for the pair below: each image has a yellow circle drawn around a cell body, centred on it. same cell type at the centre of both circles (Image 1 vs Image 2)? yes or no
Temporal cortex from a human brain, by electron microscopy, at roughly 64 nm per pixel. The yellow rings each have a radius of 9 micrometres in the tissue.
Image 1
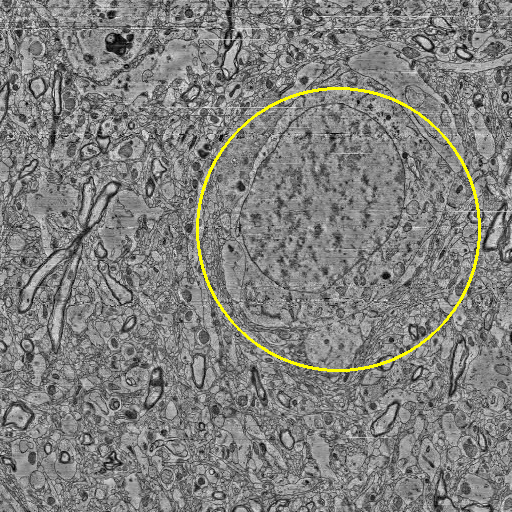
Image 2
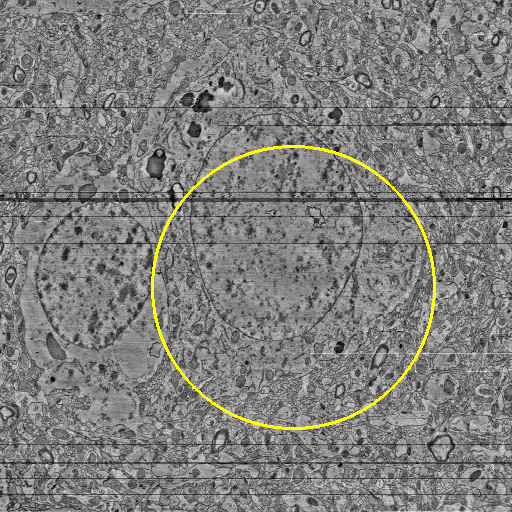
yes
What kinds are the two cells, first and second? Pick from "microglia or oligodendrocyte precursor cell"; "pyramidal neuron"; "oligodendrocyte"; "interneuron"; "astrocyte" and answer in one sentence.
Both cells are the same kind, each one being a pyramidal neuron.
